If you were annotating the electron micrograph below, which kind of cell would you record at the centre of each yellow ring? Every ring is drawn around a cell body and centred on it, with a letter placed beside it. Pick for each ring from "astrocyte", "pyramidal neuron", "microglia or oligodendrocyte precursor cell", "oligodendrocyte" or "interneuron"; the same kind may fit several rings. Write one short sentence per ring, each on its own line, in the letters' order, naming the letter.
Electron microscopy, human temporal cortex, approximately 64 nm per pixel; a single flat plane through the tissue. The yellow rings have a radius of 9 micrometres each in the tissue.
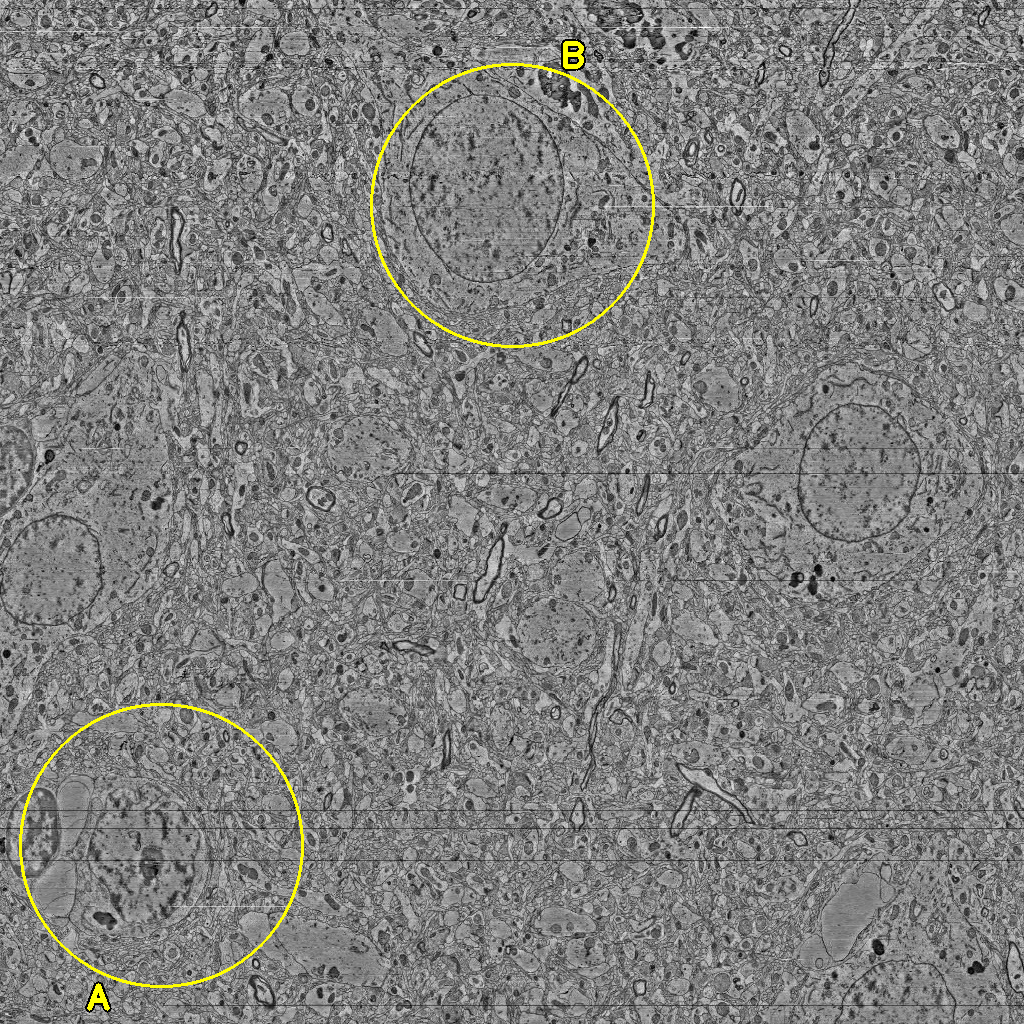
For ring A, I would record an interneuron.
For ring B, I would record a pyramidal neuron.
